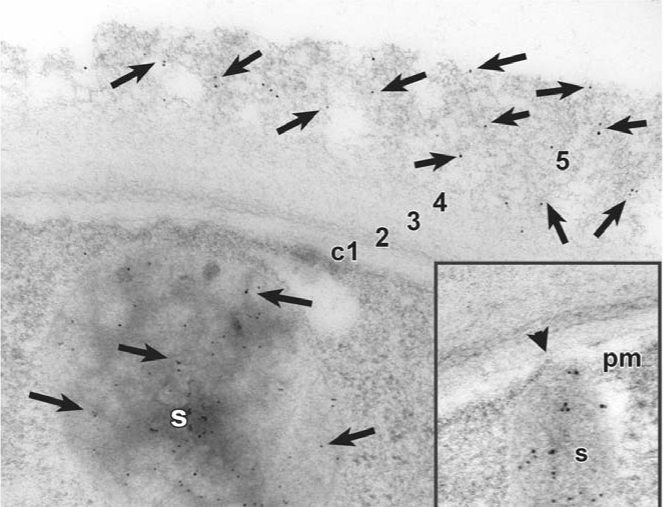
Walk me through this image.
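The apical part of an epithelial cell is covered by a layered cuticle: thin dense lamellae next to the cell surface and a loose fibrillar outer layer carrying scattered black gold particles. Beneath the surface, a large dark secretory granule with gold particles lies in the cytoplasm, and an inset shows a smaller granule in contact with the plasma membrane.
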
